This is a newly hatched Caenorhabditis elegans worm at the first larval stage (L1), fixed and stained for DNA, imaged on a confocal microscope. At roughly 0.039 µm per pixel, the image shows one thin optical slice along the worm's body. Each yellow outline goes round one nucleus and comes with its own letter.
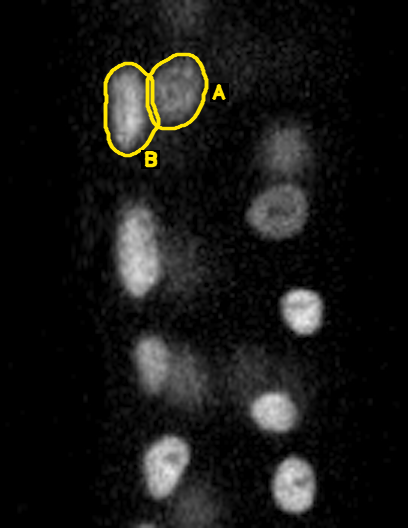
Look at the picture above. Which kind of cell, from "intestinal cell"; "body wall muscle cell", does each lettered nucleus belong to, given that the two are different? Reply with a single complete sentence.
A is from an intestinal cell, and B is from a body wall muscle cell.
